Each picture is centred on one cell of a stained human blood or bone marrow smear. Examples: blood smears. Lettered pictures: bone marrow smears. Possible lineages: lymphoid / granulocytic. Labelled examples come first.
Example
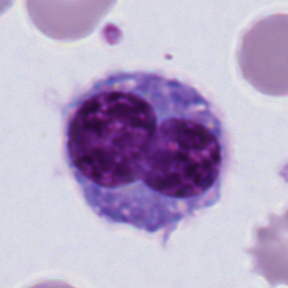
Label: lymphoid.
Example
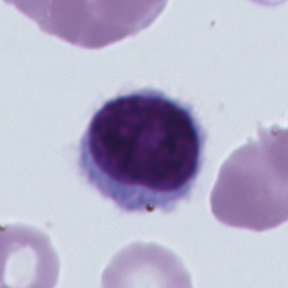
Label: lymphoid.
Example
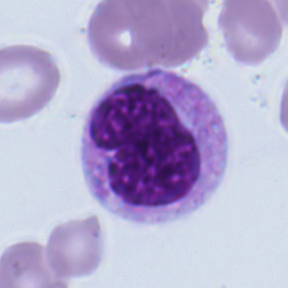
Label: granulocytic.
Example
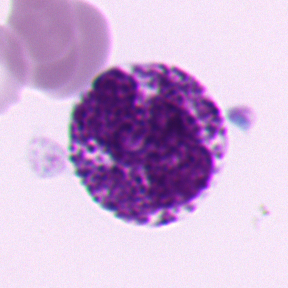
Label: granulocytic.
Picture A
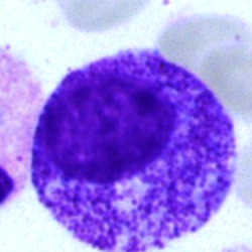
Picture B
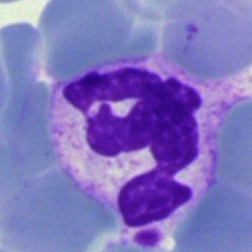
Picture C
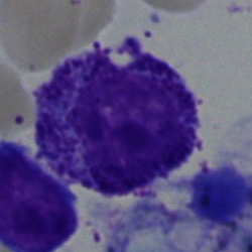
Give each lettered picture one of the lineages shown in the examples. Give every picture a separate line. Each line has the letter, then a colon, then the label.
A: granulocytic.
B: granulocytic.
C: granulocytic.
